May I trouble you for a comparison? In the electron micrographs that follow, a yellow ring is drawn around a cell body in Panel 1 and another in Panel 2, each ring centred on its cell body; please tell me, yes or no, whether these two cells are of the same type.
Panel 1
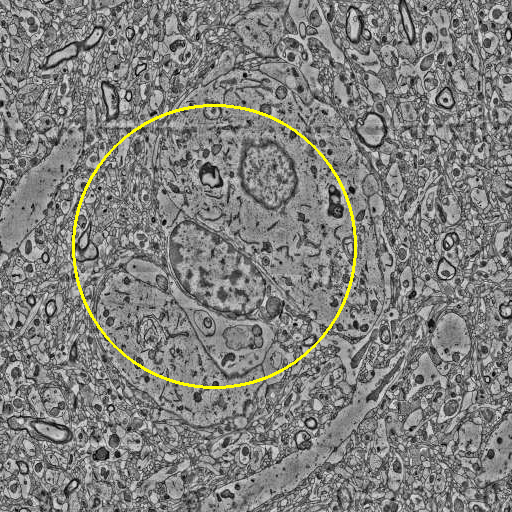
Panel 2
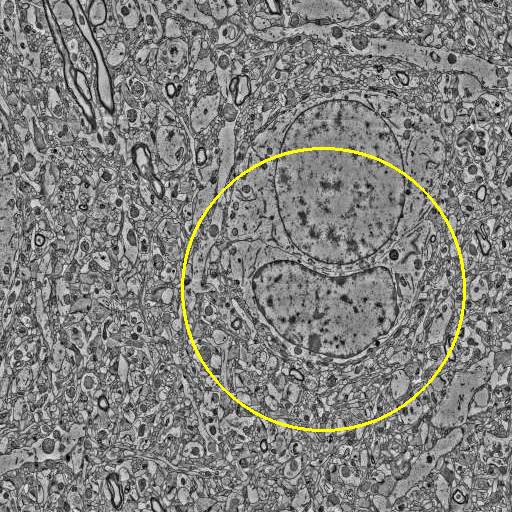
yes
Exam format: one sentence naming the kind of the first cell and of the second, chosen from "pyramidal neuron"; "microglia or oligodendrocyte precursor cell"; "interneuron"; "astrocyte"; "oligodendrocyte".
Each cell, in the first picture and the second, is a microglial cell or oligodendrocyte precursor cell.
